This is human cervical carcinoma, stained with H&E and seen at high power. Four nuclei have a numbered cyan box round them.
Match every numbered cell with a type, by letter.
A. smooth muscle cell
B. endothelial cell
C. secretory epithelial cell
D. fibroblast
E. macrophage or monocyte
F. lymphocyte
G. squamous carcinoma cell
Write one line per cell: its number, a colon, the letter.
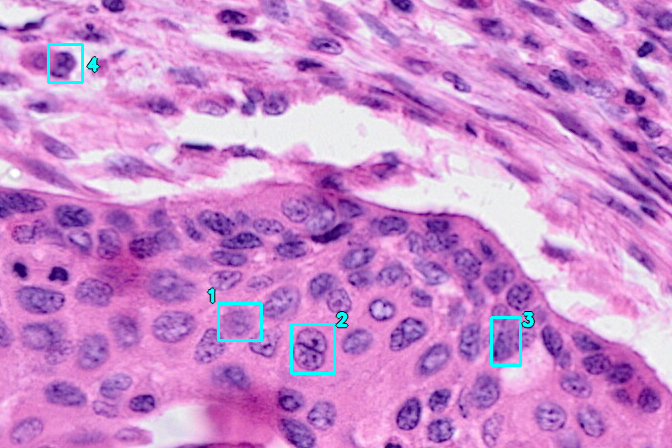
1: G
2: G
3: G
4: E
